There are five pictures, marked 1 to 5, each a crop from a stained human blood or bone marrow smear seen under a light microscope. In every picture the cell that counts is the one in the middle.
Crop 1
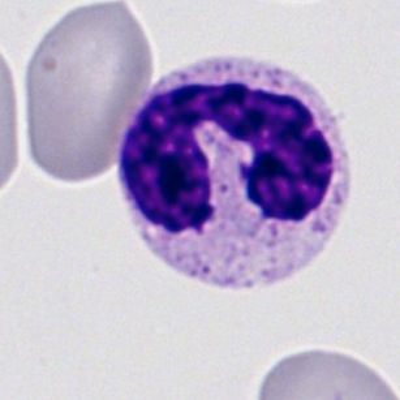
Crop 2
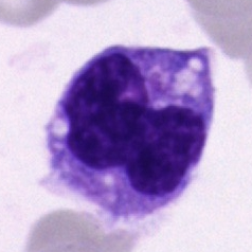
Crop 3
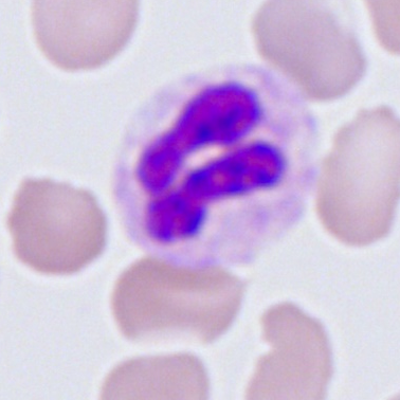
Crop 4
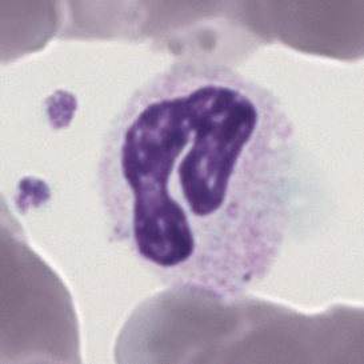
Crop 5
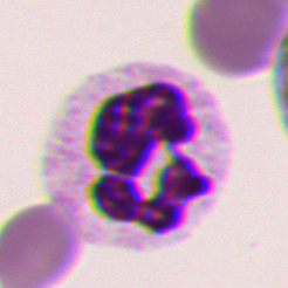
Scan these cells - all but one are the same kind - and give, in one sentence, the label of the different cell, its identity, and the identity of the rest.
As the exception to the neutrophils in the other crops, crop 2 shows a monocyte.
